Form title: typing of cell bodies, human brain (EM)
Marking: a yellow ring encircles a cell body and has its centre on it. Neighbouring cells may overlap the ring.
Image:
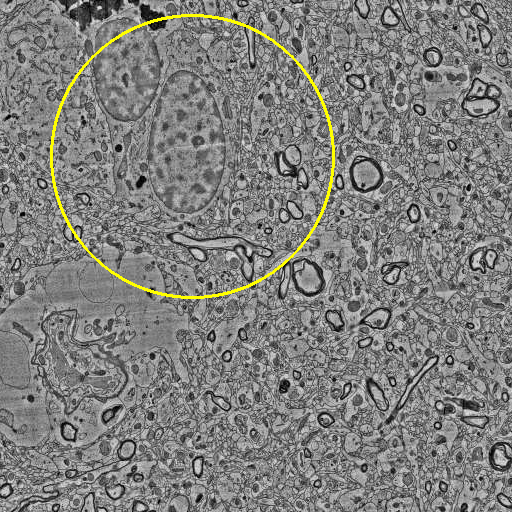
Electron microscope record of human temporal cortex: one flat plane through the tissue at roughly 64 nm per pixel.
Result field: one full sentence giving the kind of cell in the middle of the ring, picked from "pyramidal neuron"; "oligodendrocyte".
In the picture, the ring is centred on an oligodendrocyte, whose cell body it encircles.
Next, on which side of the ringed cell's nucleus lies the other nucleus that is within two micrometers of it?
The other nucleus is found to the upper left of it.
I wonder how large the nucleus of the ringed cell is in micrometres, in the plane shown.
Approximately 9 by 5 micrometers, which makes the nucleus clearly longer than it is wide in this plane.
